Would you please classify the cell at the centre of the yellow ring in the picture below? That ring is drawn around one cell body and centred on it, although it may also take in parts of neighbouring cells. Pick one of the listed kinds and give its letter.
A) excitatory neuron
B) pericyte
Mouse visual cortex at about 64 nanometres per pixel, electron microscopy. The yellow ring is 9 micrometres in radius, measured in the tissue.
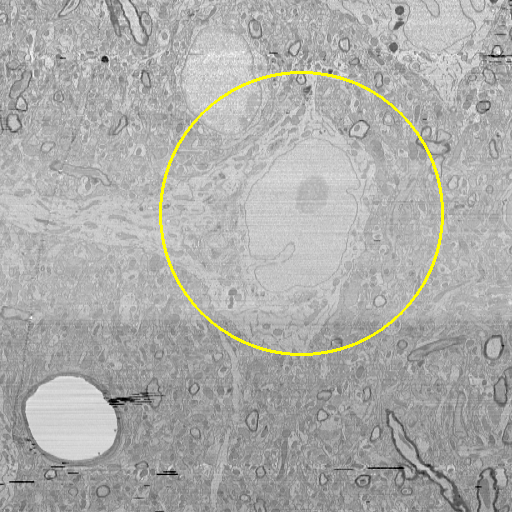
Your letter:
A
